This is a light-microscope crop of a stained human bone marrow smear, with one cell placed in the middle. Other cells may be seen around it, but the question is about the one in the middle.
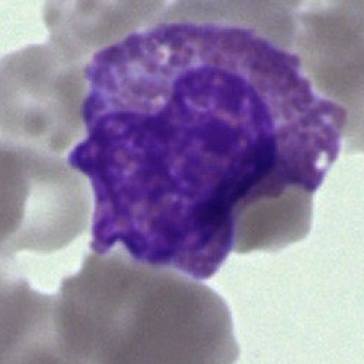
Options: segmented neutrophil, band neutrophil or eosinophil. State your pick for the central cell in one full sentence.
The cell shown in the center of this light-microscope crop is an eosinophil.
